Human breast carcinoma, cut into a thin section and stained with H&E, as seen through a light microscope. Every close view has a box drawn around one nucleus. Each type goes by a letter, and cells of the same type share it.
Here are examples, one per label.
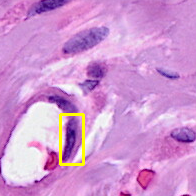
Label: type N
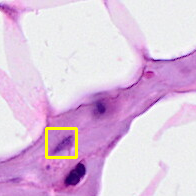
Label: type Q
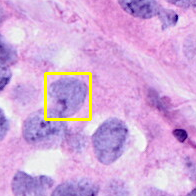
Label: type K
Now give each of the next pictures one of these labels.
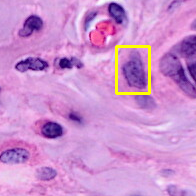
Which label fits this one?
type N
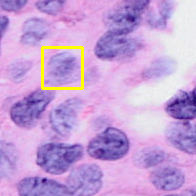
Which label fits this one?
type K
